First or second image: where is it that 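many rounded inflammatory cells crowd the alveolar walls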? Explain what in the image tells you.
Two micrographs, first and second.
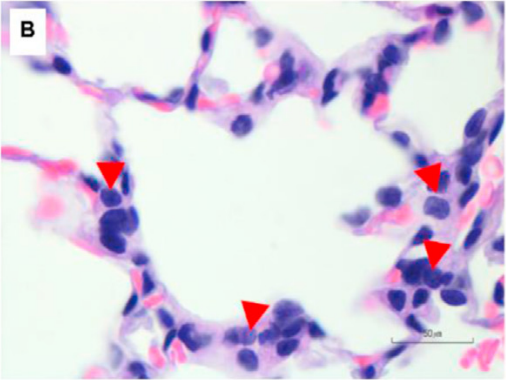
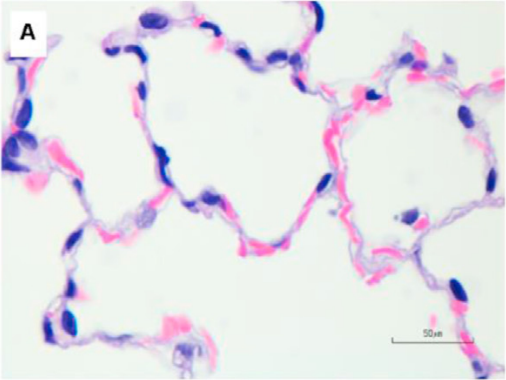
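The first image. Second image: thin alveolar septa with sparse, mostly flattened nuclei. First image: thickened septa with clusters of round dark nuclei.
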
